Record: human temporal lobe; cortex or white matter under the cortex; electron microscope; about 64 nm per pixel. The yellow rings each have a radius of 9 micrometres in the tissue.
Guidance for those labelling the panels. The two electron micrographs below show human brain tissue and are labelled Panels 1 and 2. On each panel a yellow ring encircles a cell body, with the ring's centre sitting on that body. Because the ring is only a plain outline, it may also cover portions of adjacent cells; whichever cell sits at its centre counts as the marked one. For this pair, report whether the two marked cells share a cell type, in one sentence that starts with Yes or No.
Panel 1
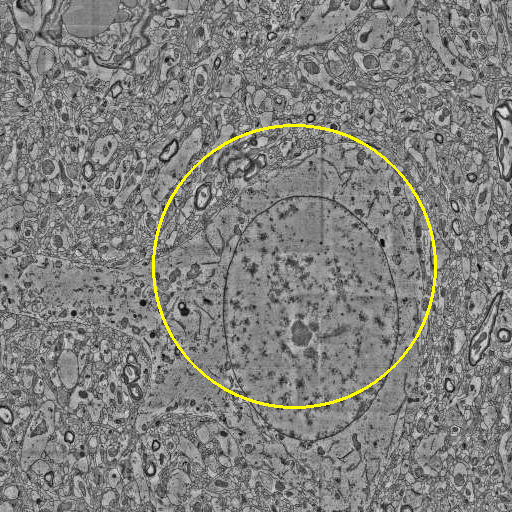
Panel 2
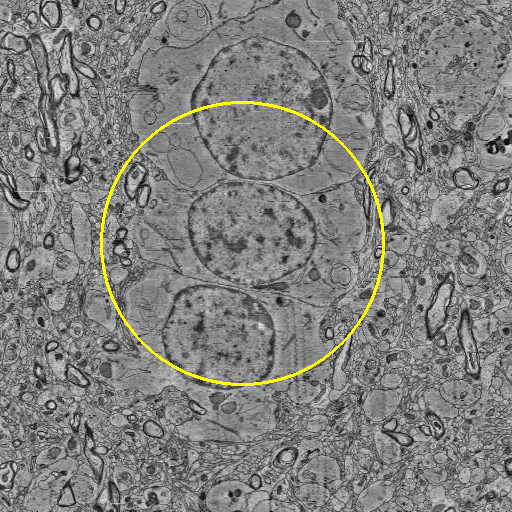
No, in Panel 1 and Panel 2 the marked cells at the ring centres are of two types.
